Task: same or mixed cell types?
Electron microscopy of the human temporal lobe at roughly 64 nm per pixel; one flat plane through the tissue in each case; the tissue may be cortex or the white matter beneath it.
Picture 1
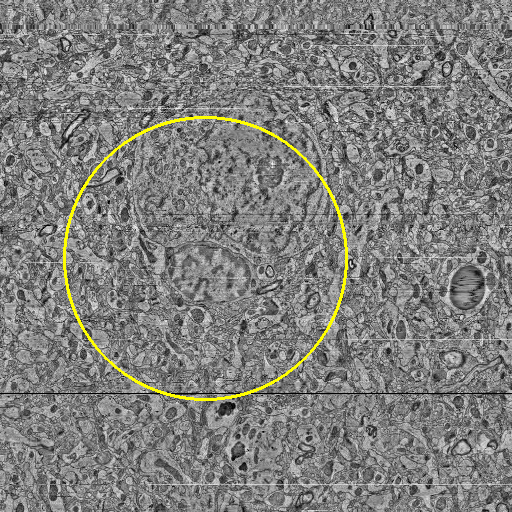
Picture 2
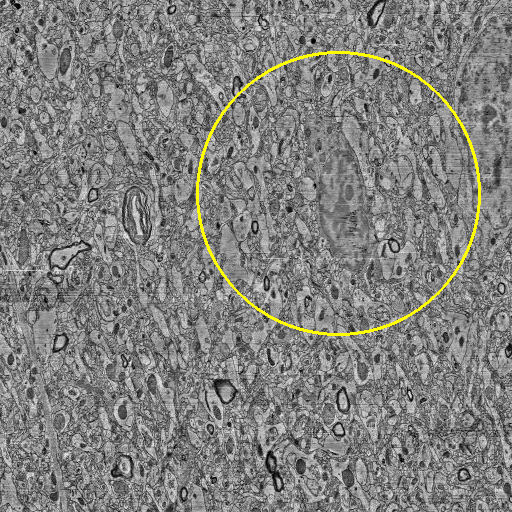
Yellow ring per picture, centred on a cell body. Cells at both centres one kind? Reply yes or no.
yes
